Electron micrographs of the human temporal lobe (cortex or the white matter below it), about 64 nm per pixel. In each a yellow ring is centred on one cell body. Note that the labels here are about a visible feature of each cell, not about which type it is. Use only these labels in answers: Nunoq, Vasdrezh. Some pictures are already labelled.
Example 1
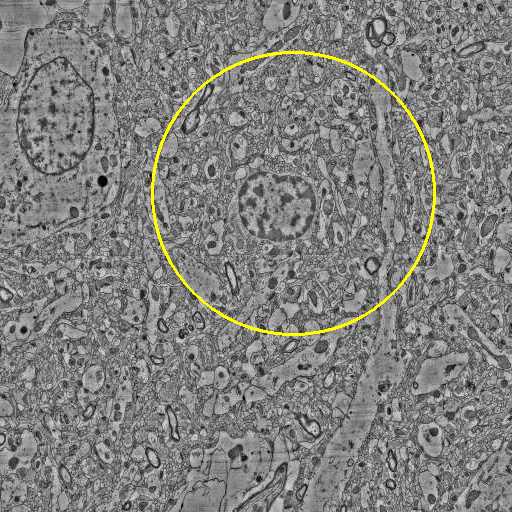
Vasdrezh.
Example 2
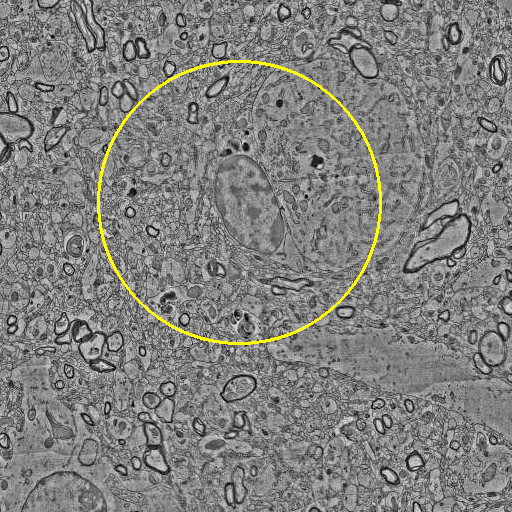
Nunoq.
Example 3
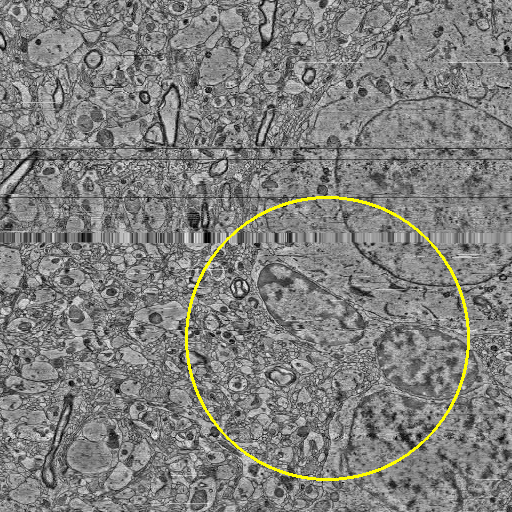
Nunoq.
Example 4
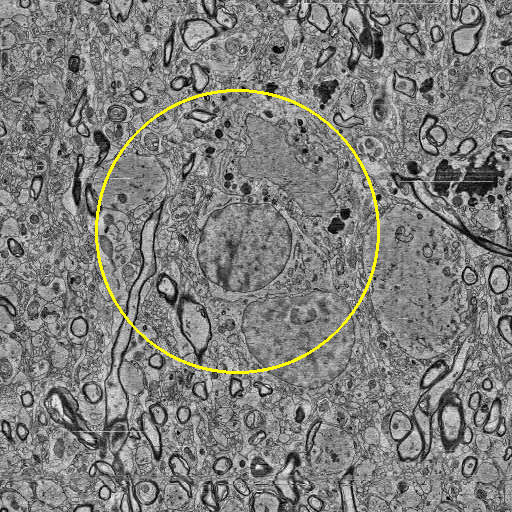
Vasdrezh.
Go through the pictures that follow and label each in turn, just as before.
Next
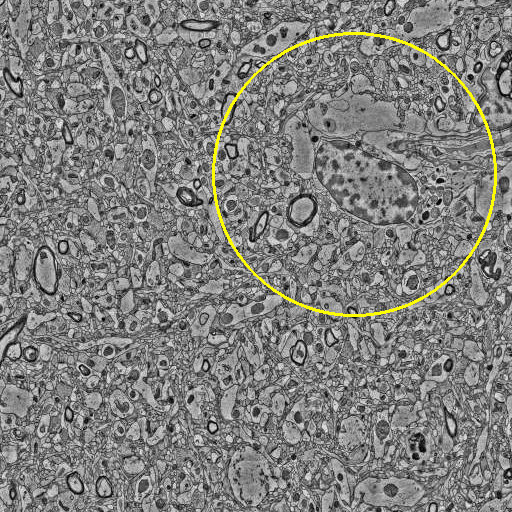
Nunoq.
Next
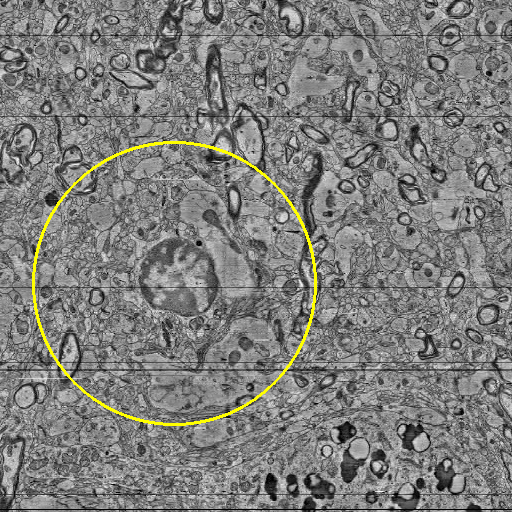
Vasdrezh.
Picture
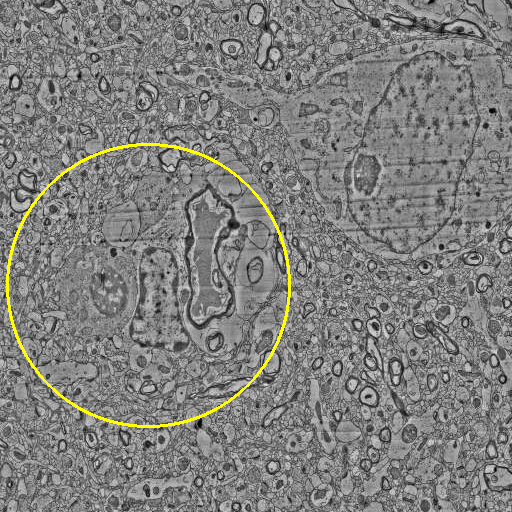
Nunoq.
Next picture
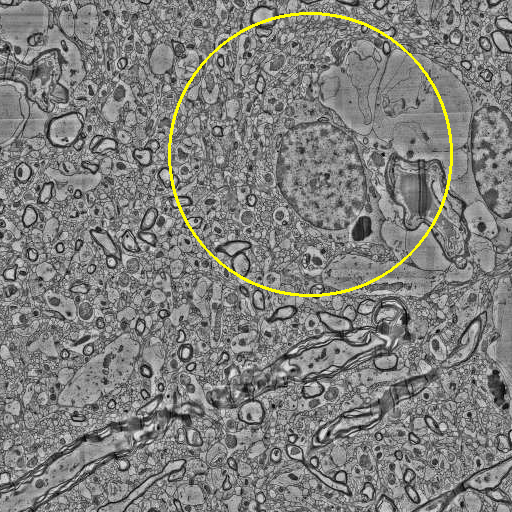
Vasdrezh.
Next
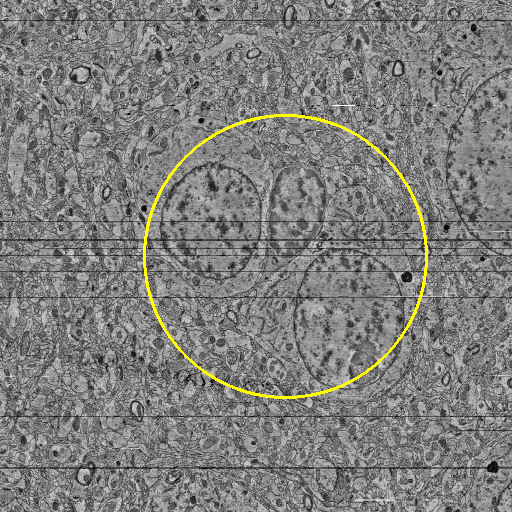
Nunoq.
